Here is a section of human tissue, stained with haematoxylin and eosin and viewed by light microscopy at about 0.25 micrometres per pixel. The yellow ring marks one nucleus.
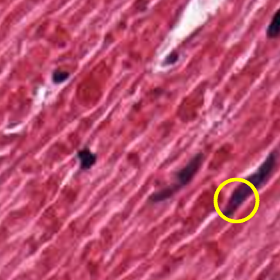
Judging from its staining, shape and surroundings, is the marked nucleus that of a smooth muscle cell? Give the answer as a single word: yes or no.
yes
